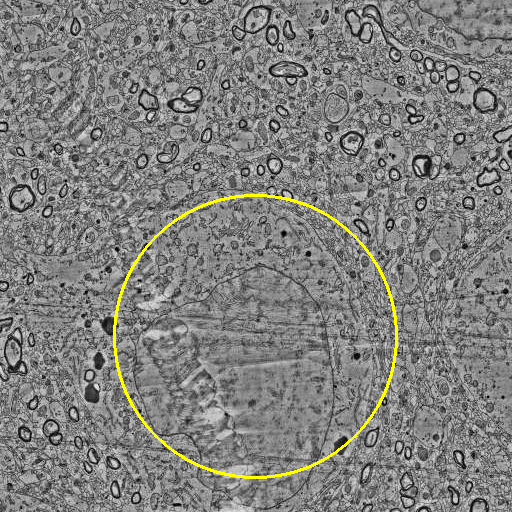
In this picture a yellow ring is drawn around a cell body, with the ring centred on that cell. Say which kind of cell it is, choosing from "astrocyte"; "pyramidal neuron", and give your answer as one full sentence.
Here it is a pyramidal neuron that sits at the centre of the drawn yellow ring.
